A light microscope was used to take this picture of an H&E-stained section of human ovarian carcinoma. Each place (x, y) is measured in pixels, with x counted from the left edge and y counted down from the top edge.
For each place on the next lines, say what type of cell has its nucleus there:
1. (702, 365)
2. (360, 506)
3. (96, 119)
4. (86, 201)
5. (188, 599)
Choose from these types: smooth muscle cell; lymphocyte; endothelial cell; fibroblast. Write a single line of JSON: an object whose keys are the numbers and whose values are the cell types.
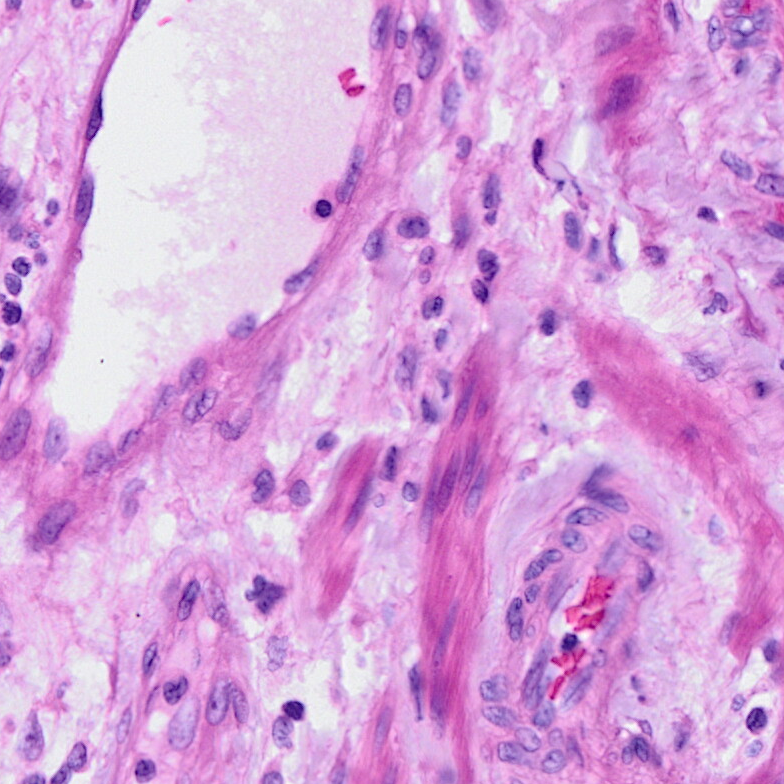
{"1": "fibroblast", "2": "smooth muscle cell", "3": "endothelial cell", "4": "endothelial cell", "5": "endothelial cell"}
